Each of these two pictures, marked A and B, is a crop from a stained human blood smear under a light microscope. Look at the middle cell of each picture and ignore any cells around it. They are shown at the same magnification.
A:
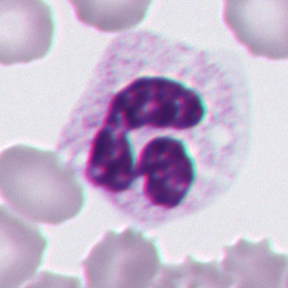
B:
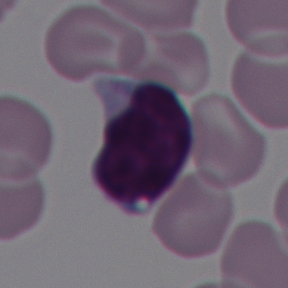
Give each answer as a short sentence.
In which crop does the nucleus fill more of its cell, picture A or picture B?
In picture B the nucleus takes up the larger part of its cell.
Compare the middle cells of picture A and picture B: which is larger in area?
The cell in picture A is larger, with about 2 times the area of the one in picture B.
